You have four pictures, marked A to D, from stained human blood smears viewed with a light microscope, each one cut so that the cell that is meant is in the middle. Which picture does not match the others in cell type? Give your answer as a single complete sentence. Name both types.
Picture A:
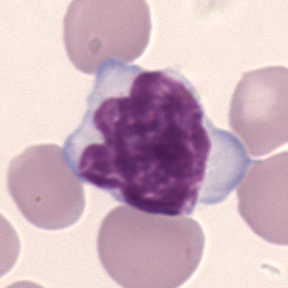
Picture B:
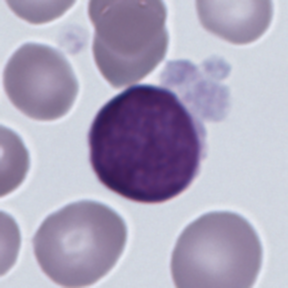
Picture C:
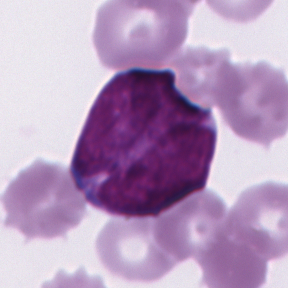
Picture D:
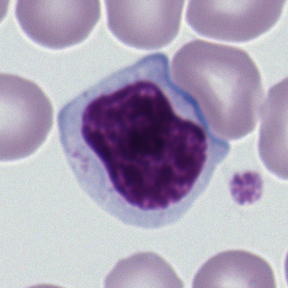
Picture D differs, because its cell is a large granular lymphocyte and the rest are myeloblasts.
